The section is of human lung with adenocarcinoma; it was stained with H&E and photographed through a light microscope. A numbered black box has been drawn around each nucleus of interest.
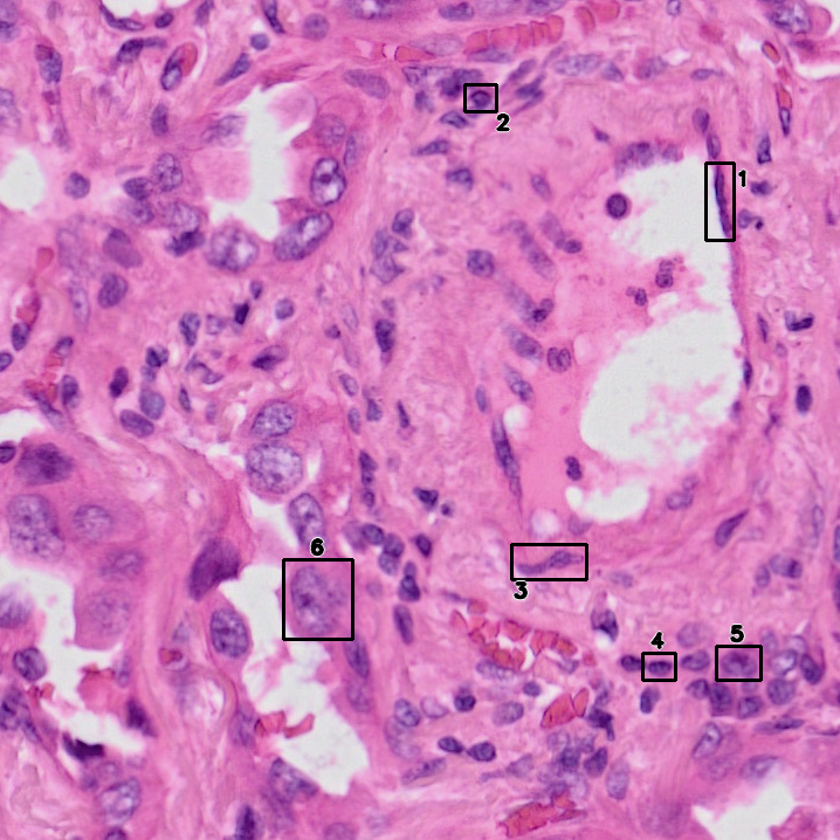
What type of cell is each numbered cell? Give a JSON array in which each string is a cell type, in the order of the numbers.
["endothelial cell", "plasma cell", "smooth muscle cell or pericyte", "lymphocyte", "plasma cell", "carcinoma cell"]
